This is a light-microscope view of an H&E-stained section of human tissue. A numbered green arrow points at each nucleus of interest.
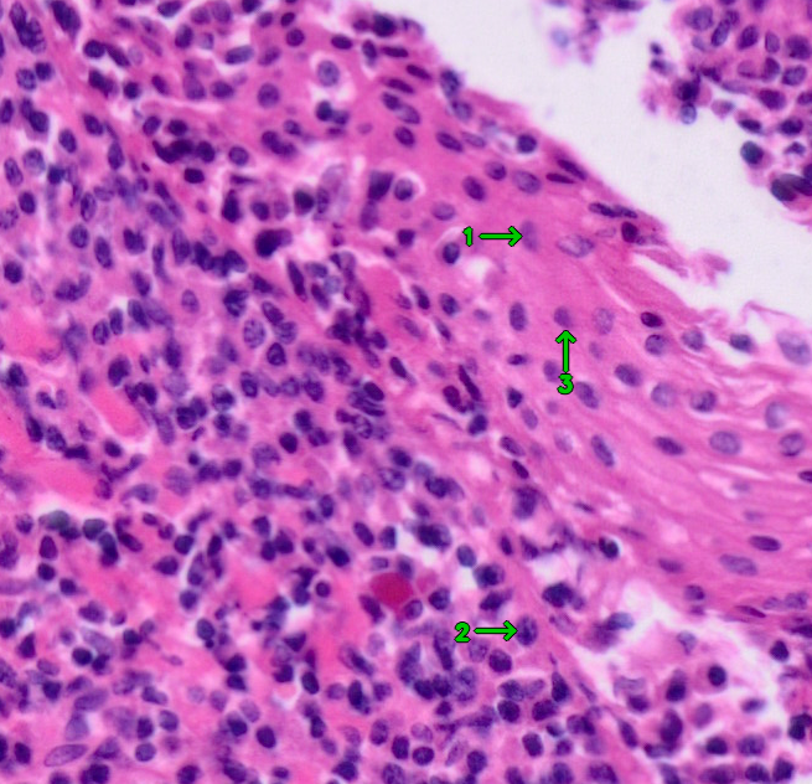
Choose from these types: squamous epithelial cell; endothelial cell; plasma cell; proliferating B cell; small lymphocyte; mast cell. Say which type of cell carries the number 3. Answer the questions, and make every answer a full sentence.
As for number 3, that cell is a squamous epithelial cell.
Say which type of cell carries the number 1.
The cell pointed out by number 1 is a squamous epithelial cell.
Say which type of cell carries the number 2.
Heads up, the cell numbered 2 is a plasma cell.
